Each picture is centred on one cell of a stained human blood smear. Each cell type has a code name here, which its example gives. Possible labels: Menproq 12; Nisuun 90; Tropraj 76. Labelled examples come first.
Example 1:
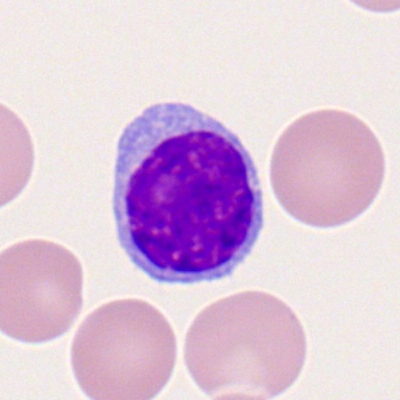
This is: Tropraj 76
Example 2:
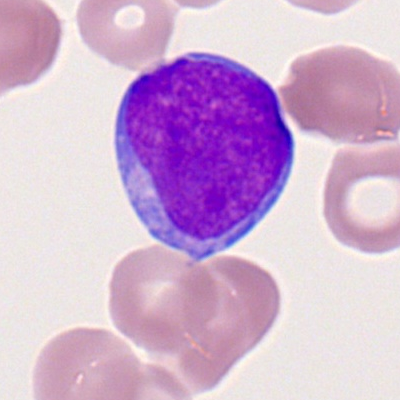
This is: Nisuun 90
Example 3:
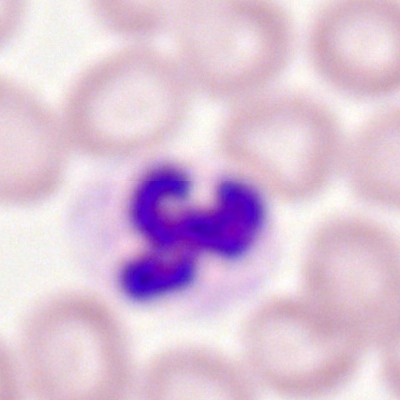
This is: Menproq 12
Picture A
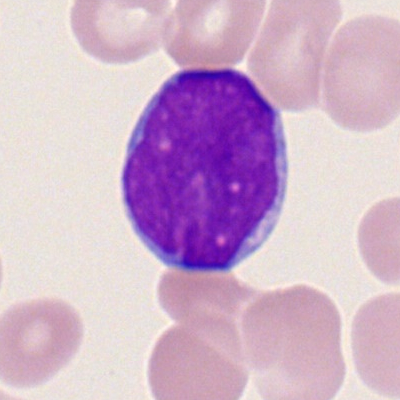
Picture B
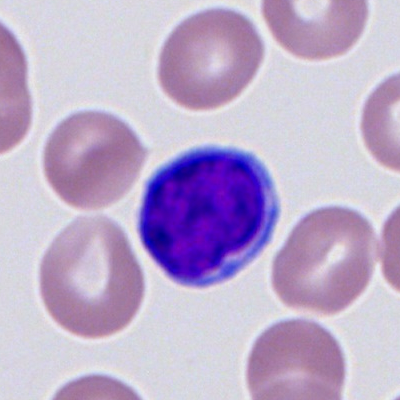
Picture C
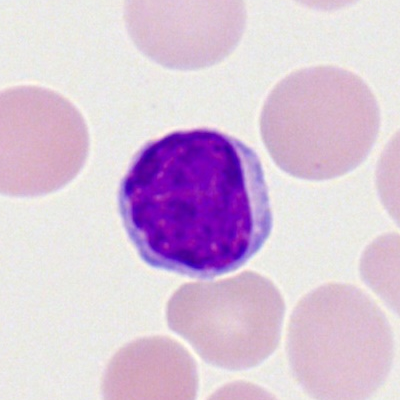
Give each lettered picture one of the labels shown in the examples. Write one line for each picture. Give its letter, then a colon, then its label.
A: Nisuun 90
B: Tropraj 76
C: Tropraj 76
